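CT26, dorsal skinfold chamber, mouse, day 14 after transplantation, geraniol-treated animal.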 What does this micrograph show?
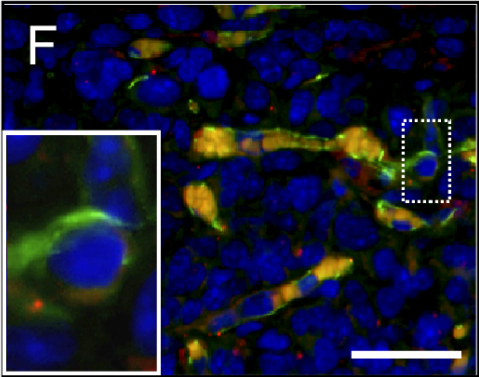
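Here again tumor tissue is crossed by small blood vessels. Tightly packed blue nuclei of the tumor cells fill the background. Several elongated vessels run across the field, their walls outlined in green, and their lumina are stuffed with rows of orange-yellow red blood cells that carry no nucleus. In the enlarged inset a thin green lining wraps around a round blue nucleus, the nucleus of a cell of the vessel wall, and only faint red is seen along it; the lining appears mostly green rather than red.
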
